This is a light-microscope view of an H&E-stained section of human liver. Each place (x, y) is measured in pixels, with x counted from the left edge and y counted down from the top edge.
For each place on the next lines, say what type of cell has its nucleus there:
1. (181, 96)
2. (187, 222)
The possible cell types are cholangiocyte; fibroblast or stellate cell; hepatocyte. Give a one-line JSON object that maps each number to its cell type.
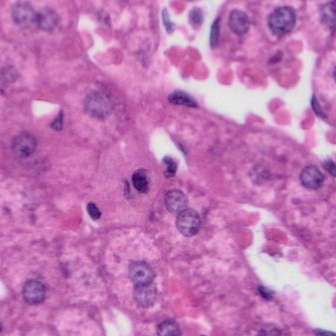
{"1": "fibroblast or stellate cell", "2": "hepatocyte"}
